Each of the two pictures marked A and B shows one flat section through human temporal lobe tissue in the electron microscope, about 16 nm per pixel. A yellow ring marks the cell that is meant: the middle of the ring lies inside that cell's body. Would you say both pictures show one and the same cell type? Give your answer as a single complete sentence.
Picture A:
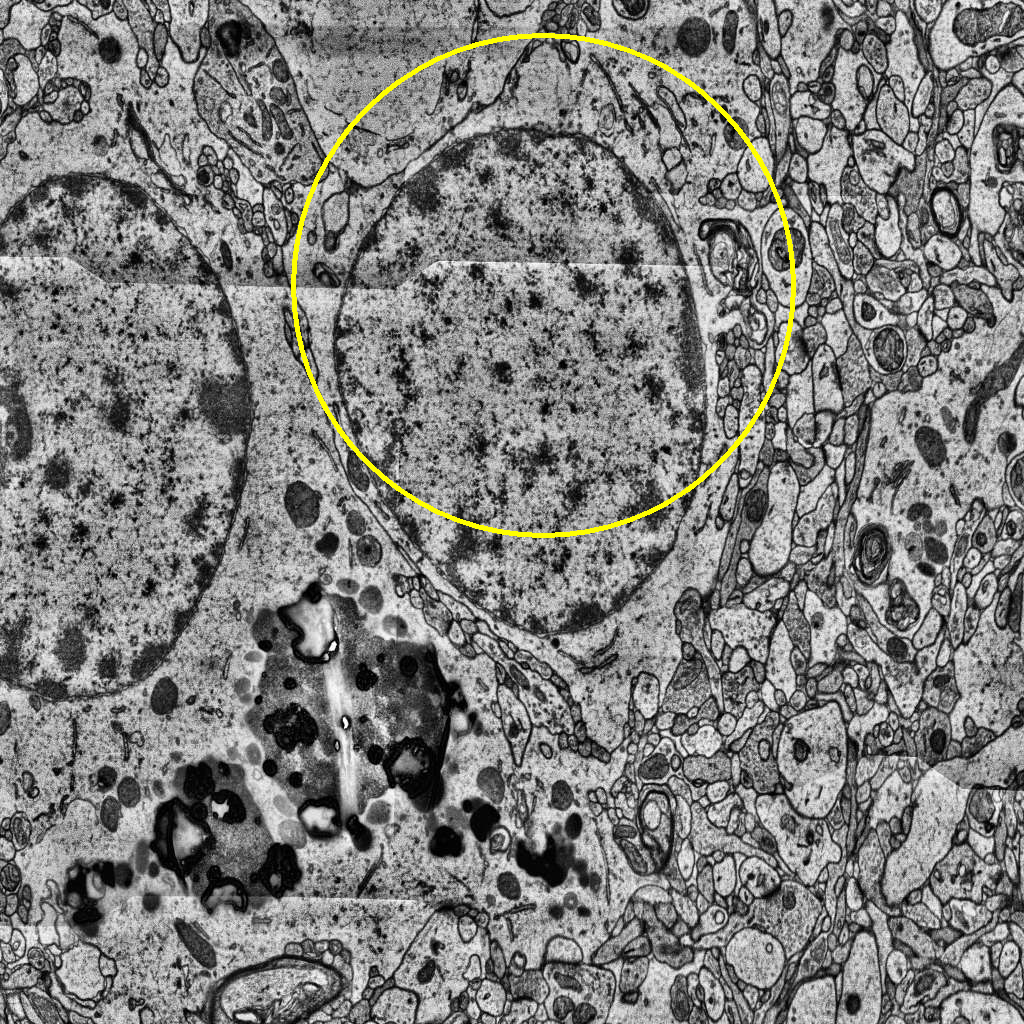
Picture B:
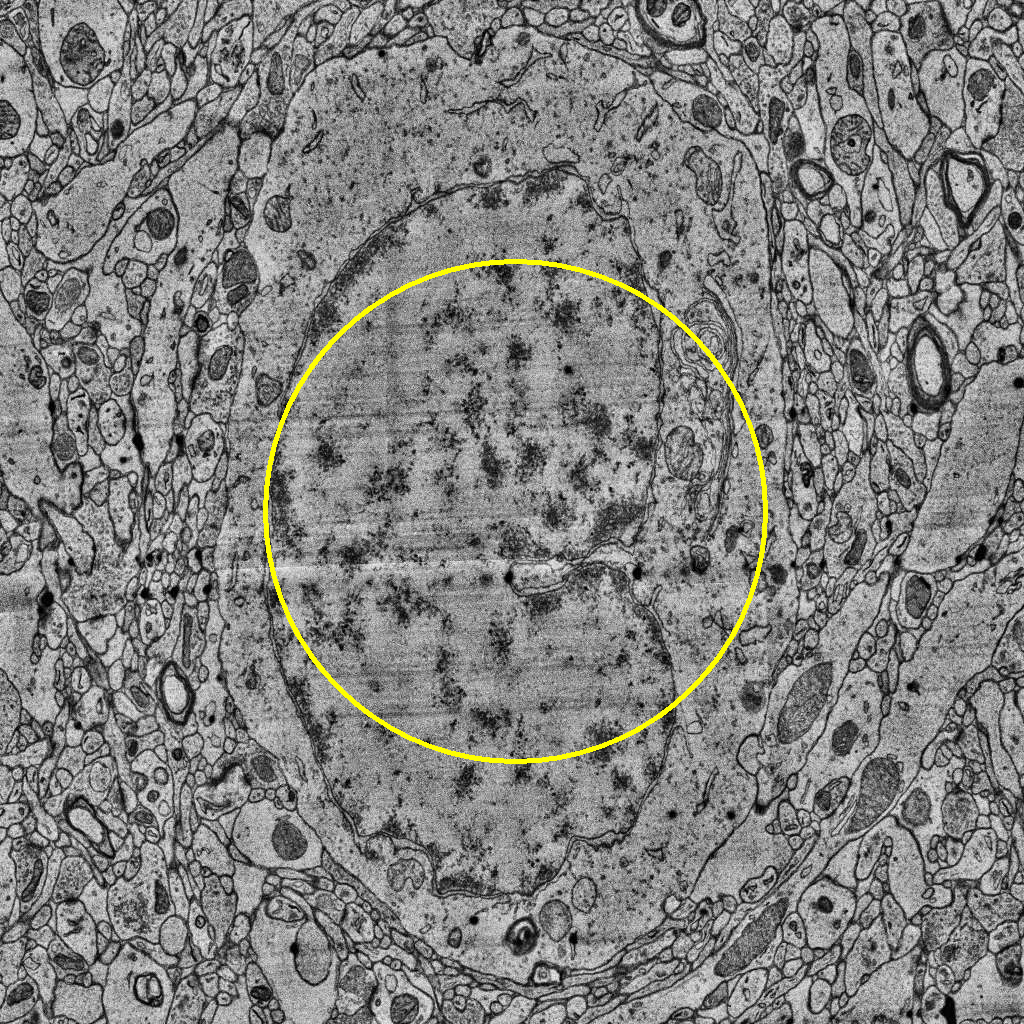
No; the cell in picture A is an astrocyte, while the one in picture B is an interneuron.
